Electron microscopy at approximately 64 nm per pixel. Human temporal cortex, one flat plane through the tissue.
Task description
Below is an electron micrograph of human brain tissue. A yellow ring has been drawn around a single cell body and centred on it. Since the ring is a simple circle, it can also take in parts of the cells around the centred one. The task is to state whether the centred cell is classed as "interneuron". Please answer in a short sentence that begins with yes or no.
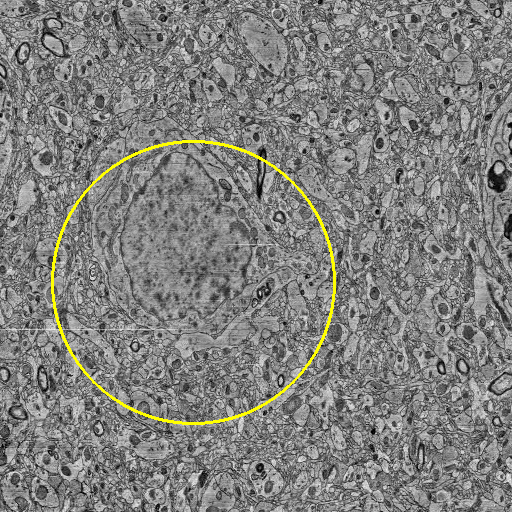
Yes, the centred cell is classed that way.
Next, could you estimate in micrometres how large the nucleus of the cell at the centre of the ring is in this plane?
The nucleus is approximately 11 micrometers long by 9 micrometers wide in this plane.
